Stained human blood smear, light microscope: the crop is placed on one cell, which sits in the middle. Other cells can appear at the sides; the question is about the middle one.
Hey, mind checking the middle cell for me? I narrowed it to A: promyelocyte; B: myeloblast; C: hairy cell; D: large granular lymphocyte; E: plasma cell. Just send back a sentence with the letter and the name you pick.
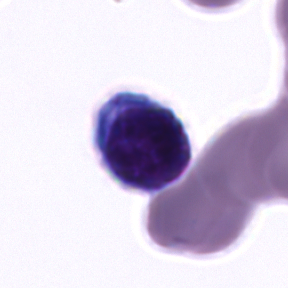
Option E is correct in naming the middle cell a plasma cell.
